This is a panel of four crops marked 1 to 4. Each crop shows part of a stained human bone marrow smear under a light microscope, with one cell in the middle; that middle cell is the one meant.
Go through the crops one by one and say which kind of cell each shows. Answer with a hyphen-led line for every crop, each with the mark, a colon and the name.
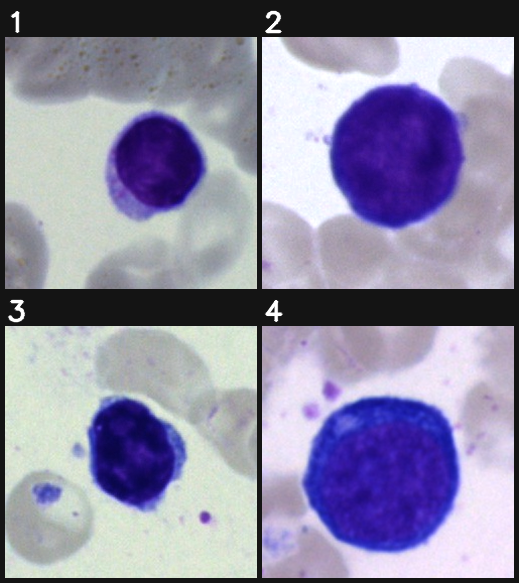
- 1: lymphocyte
- 2: proerythroblast
- 3: lymphocyte
- 4: proerythroblast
